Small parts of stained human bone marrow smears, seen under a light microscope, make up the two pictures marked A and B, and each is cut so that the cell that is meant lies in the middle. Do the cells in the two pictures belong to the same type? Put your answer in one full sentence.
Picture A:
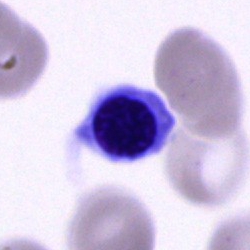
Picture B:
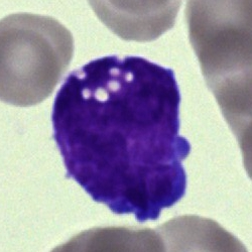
No, picture A shows an erythroblast and picture B shows a blast.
